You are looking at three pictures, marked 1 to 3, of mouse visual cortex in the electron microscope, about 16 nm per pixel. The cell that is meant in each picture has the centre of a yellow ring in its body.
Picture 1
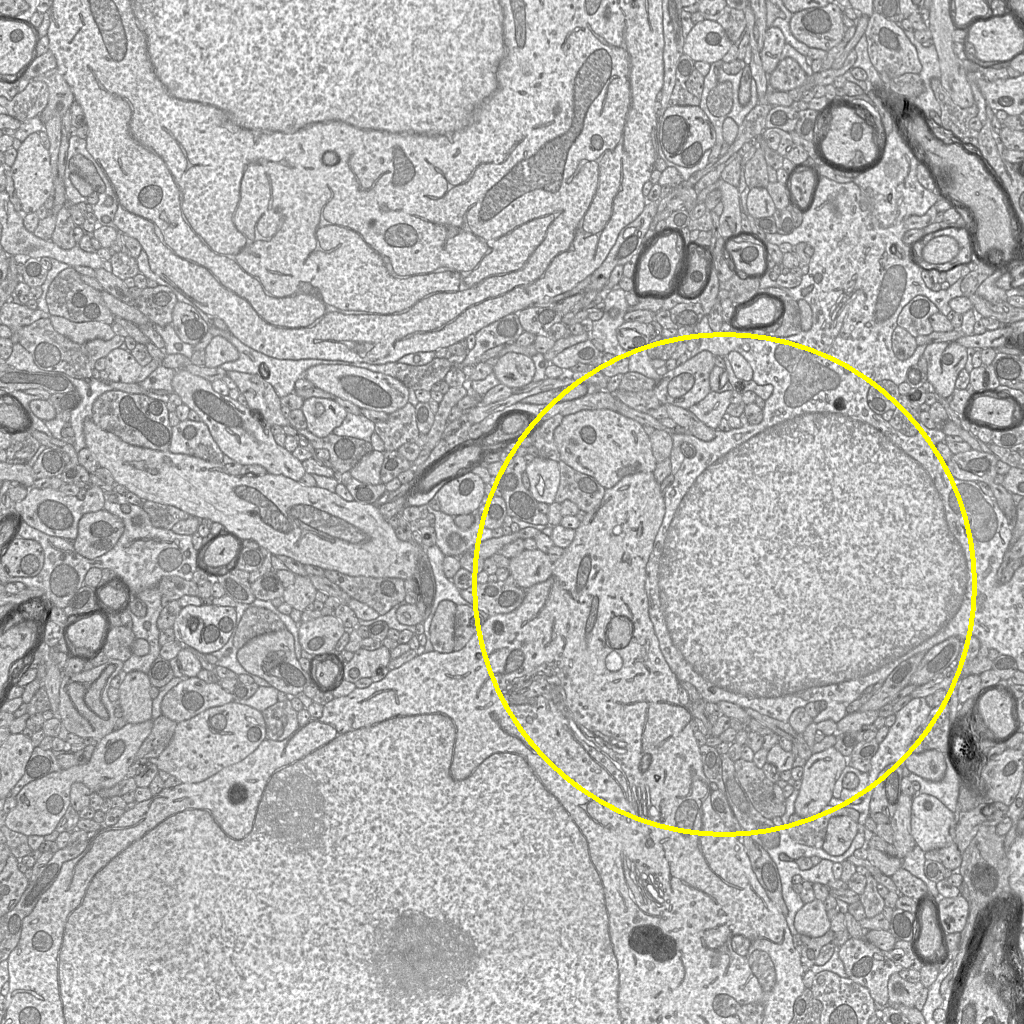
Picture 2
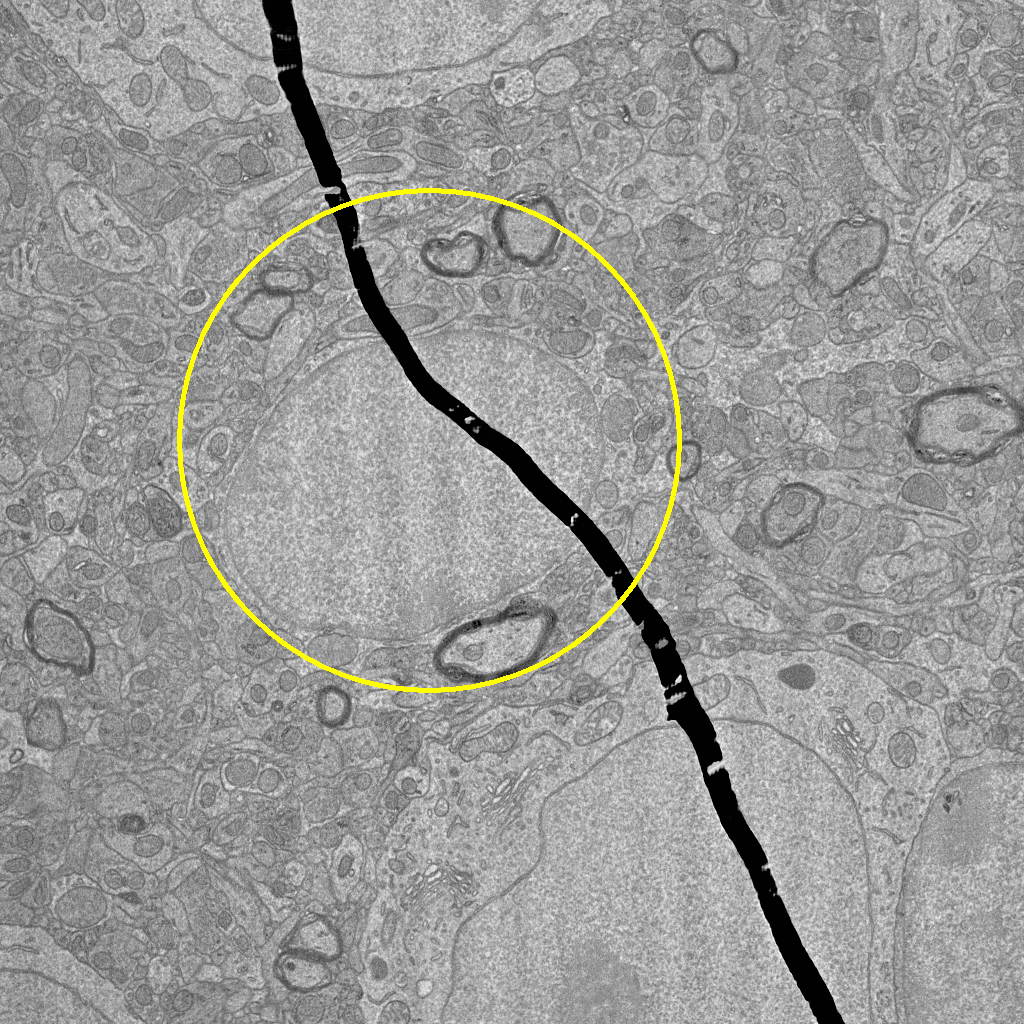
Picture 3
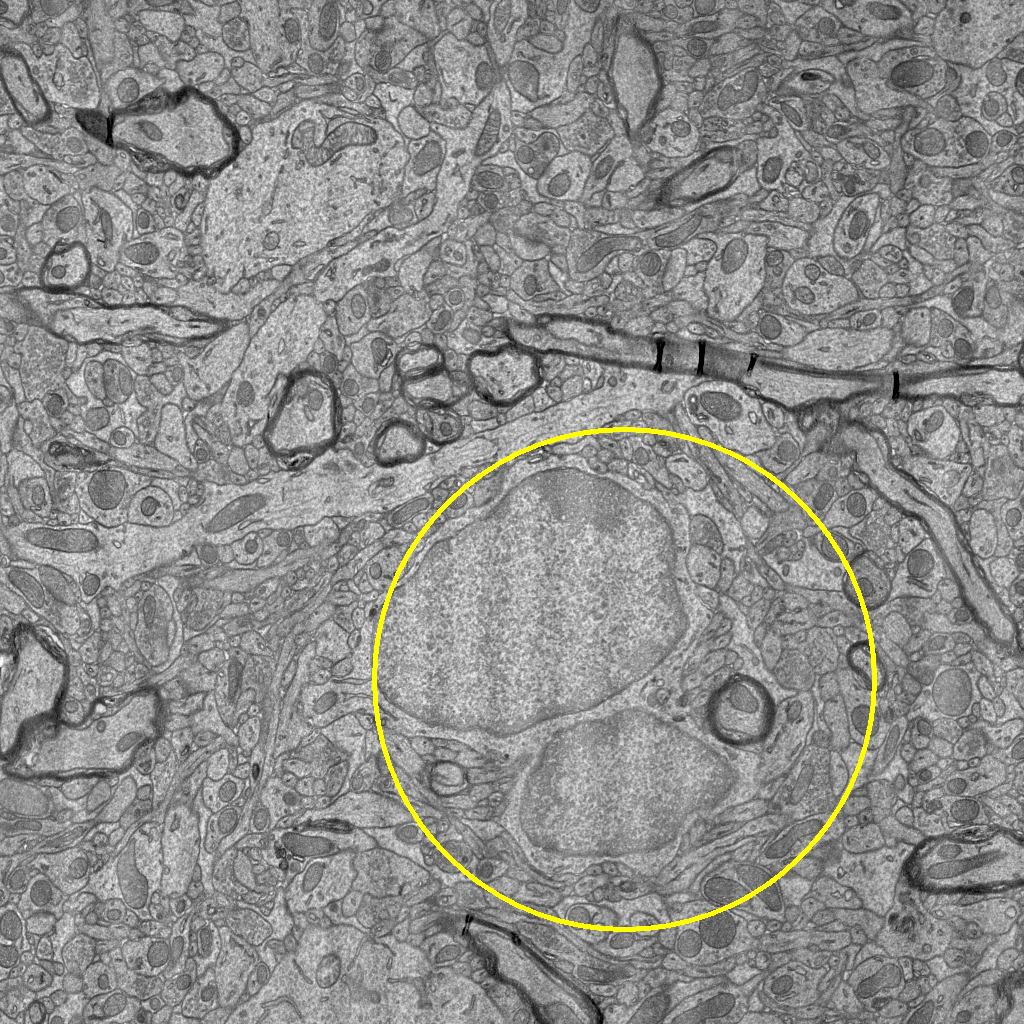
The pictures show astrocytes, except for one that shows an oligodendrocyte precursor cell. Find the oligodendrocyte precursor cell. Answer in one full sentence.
The oligodendrocyte precursor cell is the one in picture 3.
